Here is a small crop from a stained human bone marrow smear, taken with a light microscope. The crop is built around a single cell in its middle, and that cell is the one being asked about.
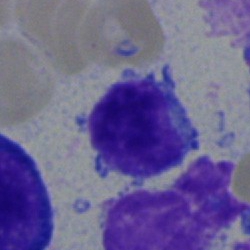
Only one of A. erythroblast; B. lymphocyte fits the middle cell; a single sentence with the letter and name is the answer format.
In the middle of the crop is a lymphocyte; option B is therefore correct.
